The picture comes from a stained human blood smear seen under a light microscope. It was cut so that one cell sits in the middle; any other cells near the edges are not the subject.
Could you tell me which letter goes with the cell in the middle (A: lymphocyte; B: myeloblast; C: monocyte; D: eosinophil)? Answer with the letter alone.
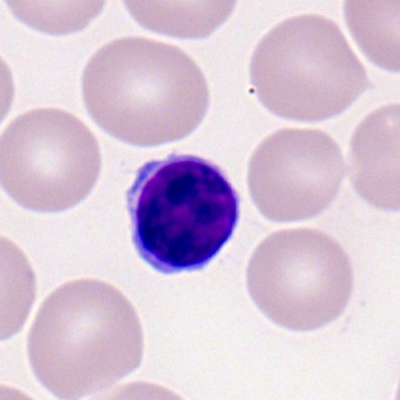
A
